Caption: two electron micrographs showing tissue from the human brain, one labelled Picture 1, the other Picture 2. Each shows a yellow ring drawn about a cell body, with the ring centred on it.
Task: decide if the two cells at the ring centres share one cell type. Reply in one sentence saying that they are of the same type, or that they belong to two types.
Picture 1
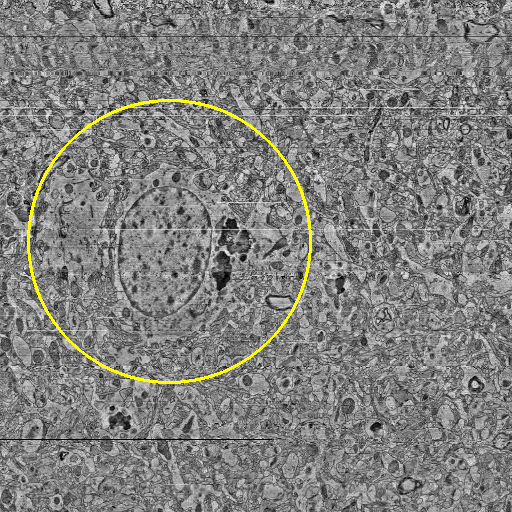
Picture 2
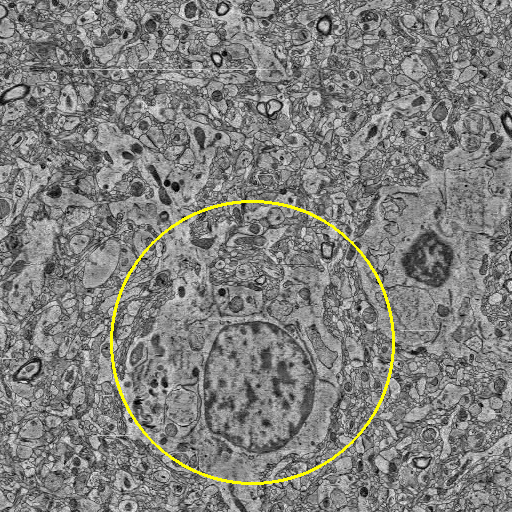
The cells at the ring centres in Picture 1 and Picture 2 are of the same type.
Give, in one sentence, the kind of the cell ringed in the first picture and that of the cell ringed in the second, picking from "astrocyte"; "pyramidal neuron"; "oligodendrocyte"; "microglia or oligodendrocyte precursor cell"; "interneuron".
In each picture the ringed cell is an astrocyte.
